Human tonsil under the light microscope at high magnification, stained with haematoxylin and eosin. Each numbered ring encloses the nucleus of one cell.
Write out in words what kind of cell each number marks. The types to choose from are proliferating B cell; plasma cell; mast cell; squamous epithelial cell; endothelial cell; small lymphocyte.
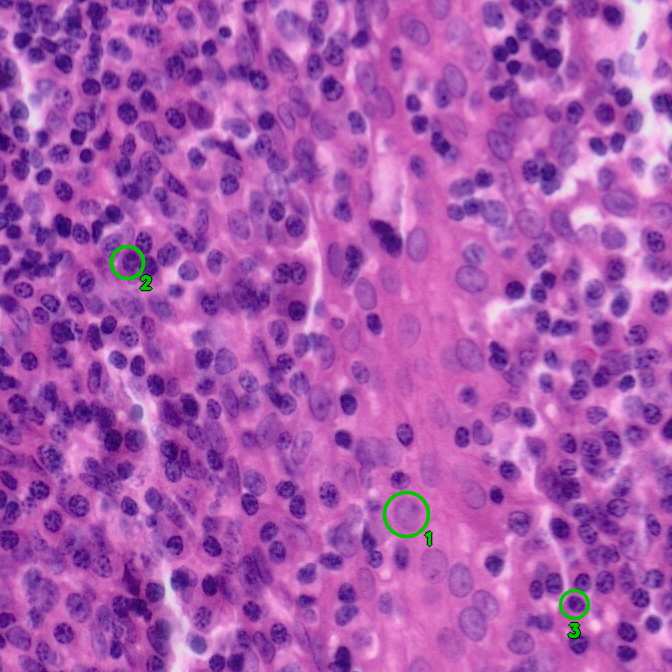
Cell 1 is a squamous epithelial cell, cell 2 is a plasma cell and cell 3 is a plasma cell.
